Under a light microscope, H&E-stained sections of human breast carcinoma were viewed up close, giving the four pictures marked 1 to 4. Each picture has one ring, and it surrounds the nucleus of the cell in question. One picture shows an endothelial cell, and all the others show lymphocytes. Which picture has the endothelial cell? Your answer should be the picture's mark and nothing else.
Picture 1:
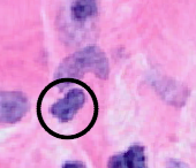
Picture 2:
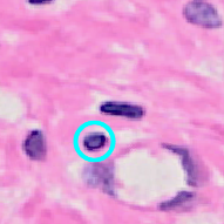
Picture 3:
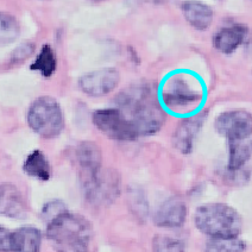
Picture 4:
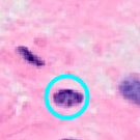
3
